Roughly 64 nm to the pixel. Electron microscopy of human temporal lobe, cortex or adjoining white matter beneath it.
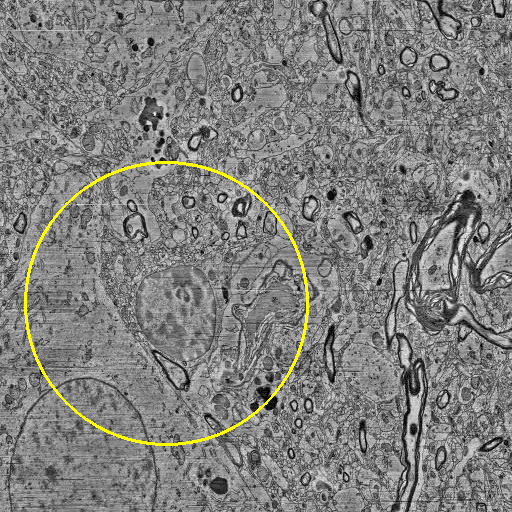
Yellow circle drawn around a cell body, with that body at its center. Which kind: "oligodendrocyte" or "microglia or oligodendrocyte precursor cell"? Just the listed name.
oligodendrocyte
